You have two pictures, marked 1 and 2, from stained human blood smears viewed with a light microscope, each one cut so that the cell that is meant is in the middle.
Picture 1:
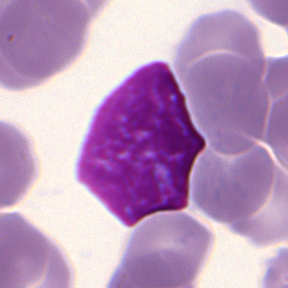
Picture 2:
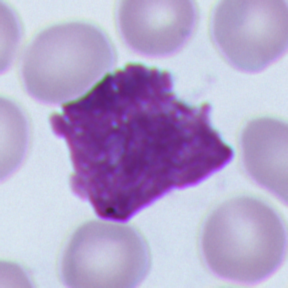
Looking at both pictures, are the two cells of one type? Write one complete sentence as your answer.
Yes, both are smudge cells.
